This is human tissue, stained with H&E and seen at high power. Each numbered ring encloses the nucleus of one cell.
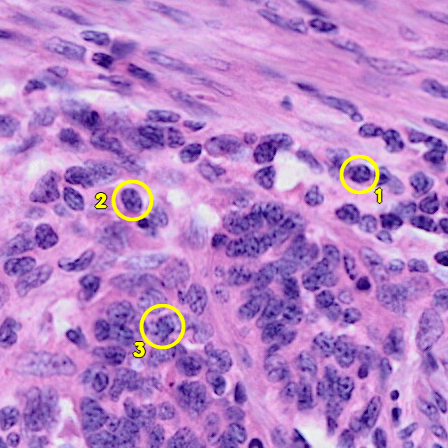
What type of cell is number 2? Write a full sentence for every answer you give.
The cell referenced by the number 2 is a lymphocyte in this field.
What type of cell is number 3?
The cell with the number 3 is a squamous carcinoma cell.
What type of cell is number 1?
Among the marked cells, number 1 is a lymphocyte.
